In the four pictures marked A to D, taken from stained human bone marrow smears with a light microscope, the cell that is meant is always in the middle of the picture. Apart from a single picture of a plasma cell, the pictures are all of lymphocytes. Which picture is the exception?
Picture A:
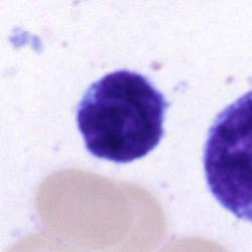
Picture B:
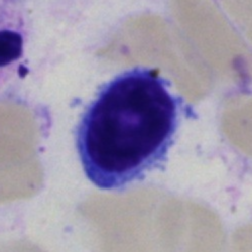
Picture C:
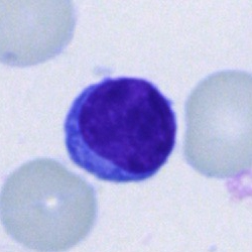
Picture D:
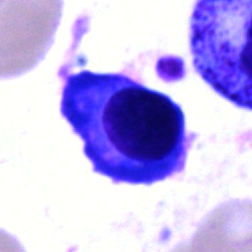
D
